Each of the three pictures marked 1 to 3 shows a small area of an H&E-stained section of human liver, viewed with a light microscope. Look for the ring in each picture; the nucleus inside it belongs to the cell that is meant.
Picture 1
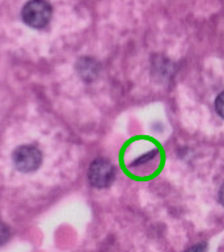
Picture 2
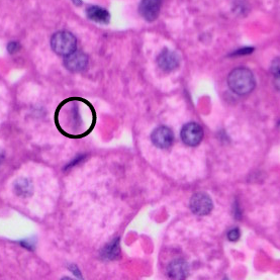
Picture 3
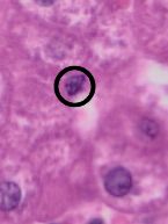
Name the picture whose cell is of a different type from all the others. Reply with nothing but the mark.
3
